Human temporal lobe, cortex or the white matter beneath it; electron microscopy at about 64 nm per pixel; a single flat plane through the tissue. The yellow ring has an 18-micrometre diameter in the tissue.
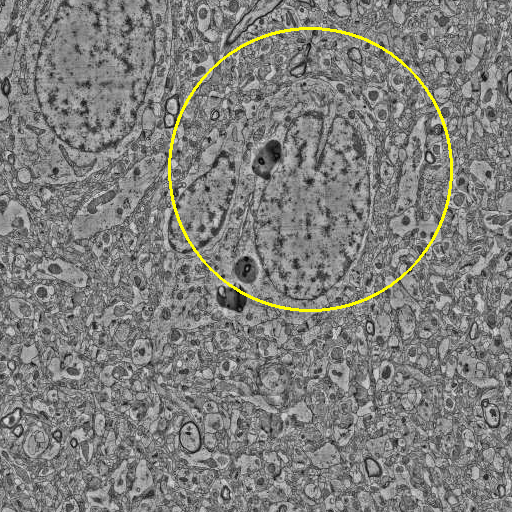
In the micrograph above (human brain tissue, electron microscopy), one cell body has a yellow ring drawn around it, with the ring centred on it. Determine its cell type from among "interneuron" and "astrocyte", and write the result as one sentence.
The cell whose body is ringed is an interneuron.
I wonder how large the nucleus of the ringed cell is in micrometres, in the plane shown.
In this plane the nucleus measures about 12 by 7 micrometres and is clearly longer than it is wide.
